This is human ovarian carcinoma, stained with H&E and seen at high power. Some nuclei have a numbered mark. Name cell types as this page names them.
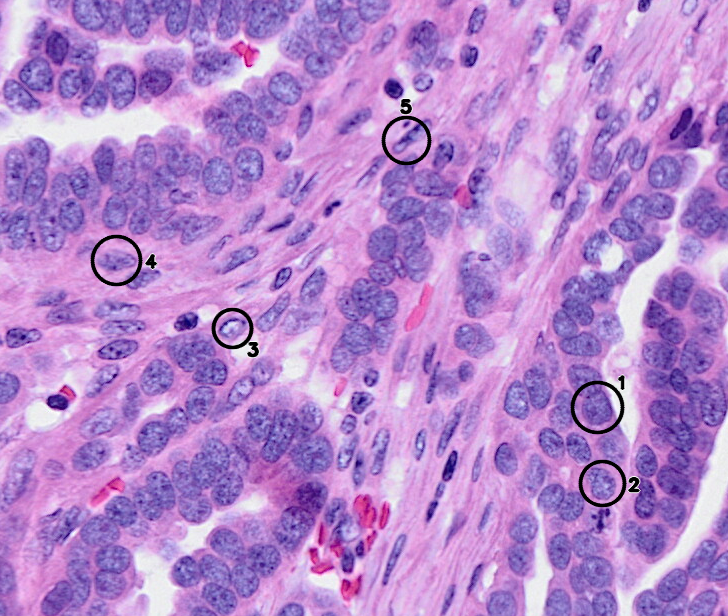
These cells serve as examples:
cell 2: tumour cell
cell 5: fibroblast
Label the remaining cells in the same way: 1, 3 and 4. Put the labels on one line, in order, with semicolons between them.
tumour cell; fibroblast; fibroblast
